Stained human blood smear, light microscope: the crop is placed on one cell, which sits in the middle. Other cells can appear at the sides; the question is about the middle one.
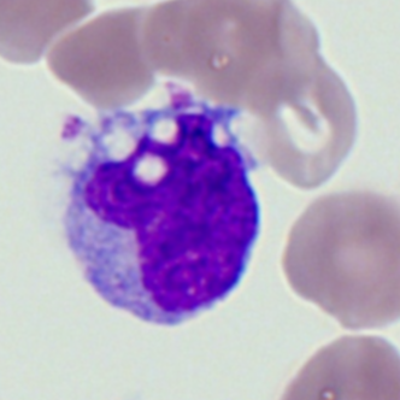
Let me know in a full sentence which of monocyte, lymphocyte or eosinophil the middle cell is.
The cell in the middle of this crop is a monocyte.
